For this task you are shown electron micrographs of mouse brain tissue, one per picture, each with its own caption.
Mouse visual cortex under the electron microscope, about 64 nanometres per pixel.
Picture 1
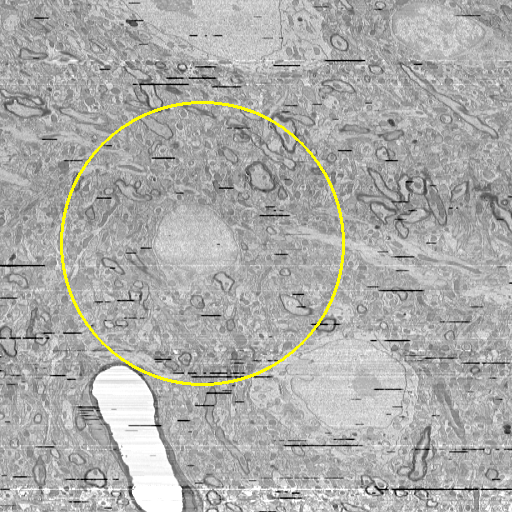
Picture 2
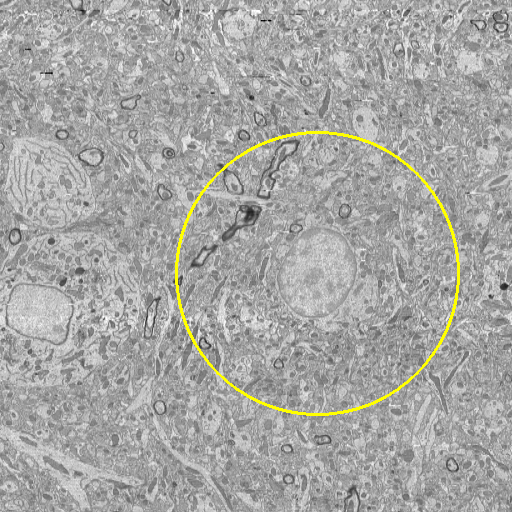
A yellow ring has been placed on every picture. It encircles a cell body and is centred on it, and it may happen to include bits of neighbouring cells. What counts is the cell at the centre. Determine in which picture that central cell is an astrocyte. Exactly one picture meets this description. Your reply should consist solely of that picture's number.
1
